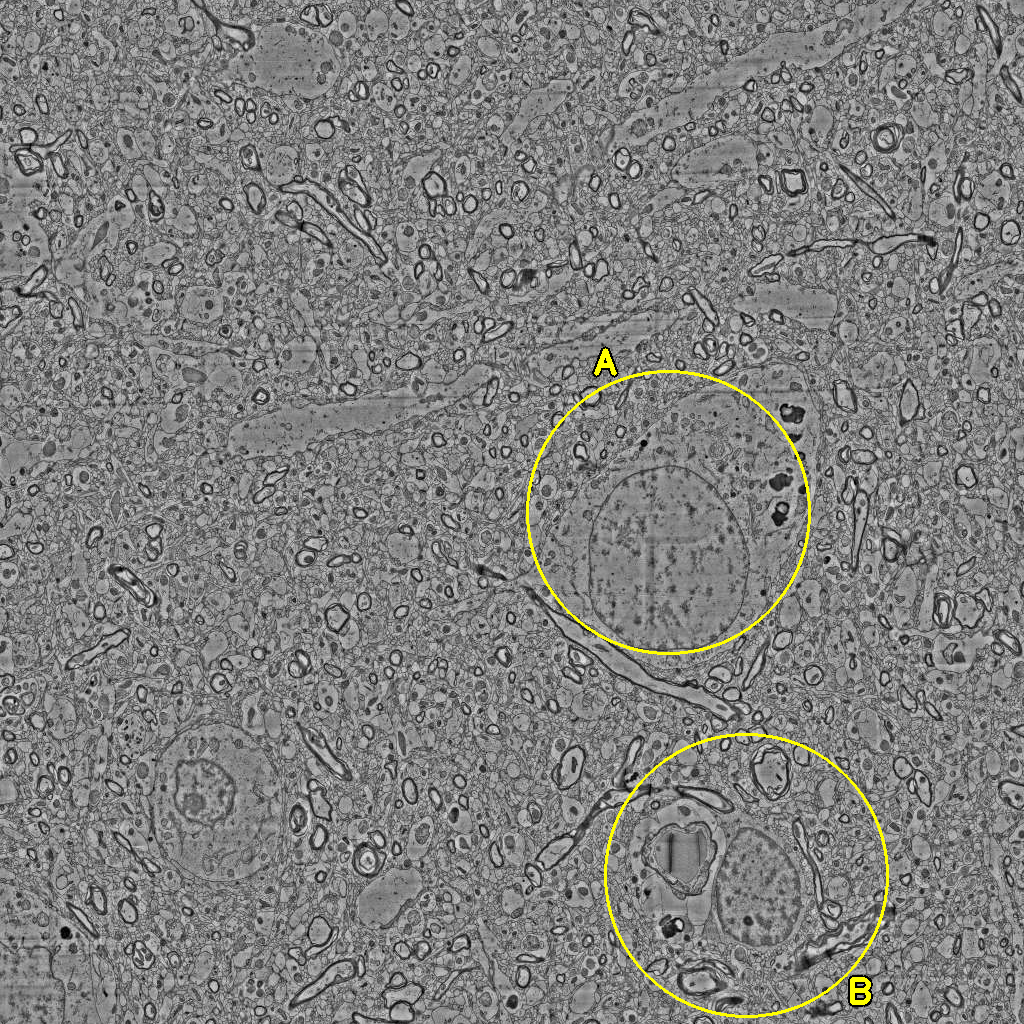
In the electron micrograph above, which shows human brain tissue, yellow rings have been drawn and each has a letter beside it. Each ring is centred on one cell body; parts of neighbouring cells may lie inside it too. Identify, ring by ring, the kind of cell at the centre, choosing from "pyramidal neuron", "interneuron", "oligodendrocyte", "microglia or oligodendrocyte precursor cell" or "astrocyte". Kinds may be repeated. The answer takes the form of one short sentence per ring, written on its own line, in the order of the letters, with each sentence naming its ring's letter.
Inside ring A, at its centre, is a pyramidal neuron.
Inside ring B, at its centre, is an oligodendrocyte.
